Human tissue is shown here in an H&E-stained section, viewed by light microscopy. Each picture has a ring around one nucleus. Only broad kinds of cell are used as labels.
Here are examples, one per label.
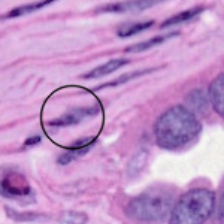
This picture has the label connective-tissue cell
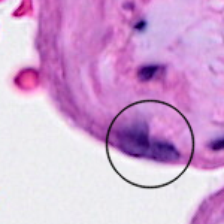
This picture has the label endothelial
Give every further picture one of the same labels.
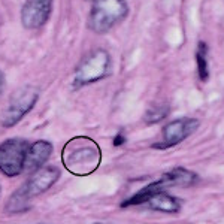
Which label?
connective-tissue cell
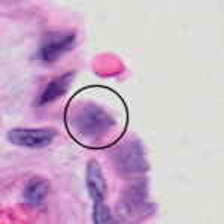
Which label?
endothelial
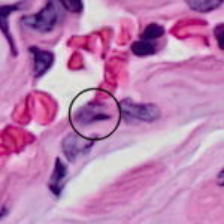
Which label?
endothelial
